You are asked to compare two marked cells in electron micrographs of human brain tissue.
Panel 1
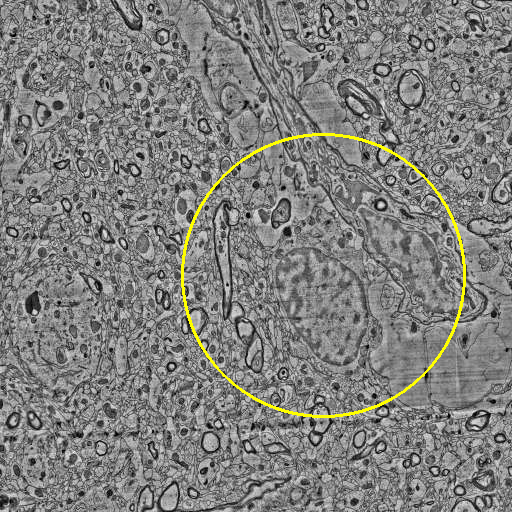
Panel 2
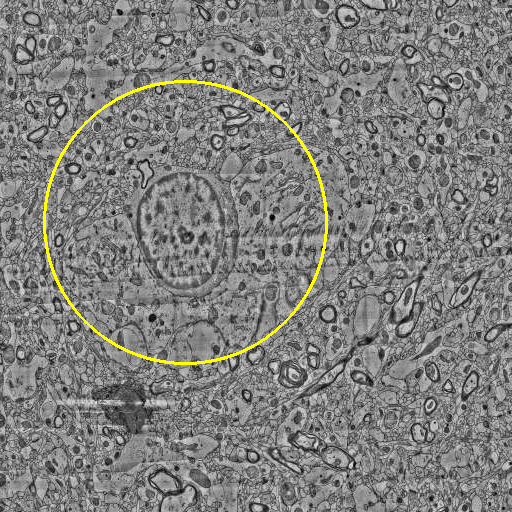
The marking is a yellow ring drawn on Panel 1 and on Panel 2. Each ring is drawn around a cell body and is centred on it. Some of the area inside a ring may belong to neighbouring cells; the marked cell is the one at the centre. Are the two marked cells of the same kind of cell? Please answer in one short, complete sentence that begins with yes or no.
Yes, the two marked cells are of the same kind.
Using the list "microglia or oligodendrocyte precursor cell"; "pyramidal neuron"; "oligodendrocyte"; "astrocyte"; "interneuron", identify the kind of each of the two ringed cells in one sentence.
Each of the two rings is centred on an oligodendrocyte.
